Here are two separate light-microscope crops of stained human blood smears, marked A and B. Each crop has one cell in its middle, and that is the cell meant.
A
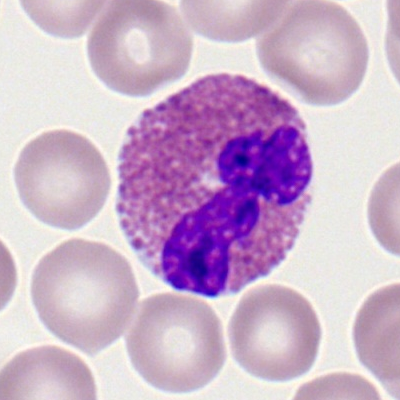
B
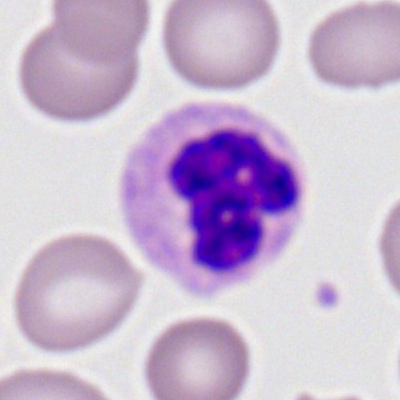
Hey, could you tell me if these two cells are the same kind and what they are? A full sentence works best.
No, crop A shows an eosinophil, whereas a neutrophil is what crop B shows.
